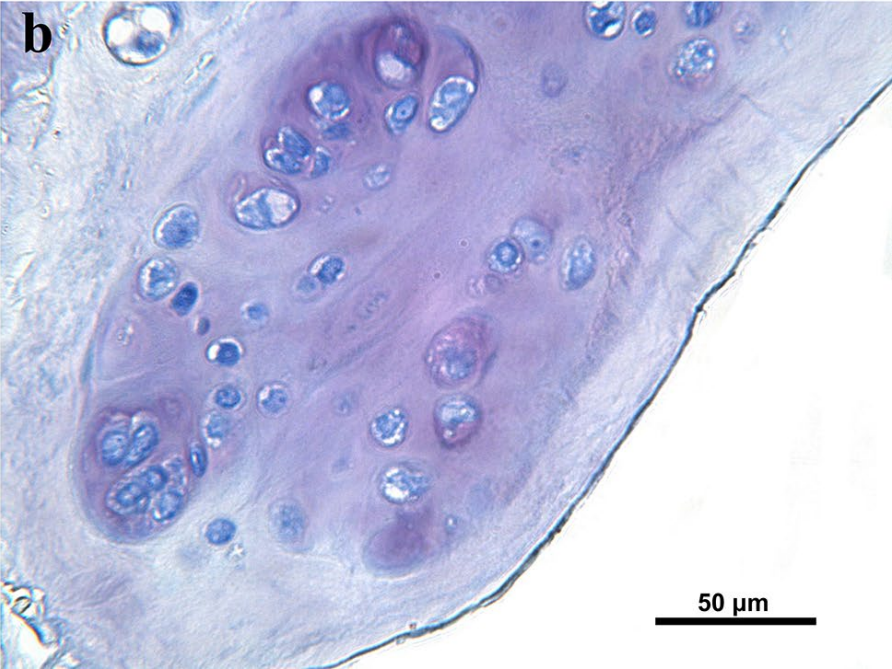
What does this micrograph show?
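The central swollen region stains deep violet, while the surrounding fibrous tissue is pale blue and nearly without cells. Within the violet area lie rounded cells with blue nuclei in clear spaces, some alone and some grouped closely in clusters of several cells. The pale fibrous rim runs along the outer edge of the tissue.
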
